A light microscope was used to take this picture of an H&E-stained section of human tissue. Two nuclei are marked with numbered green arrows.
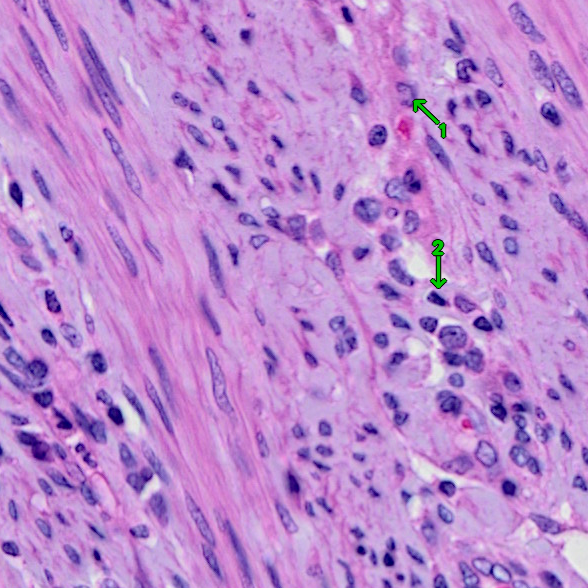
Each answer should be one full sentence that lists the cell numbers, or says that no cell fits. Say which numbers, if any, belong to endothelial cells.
Of the marked cells, the one numbered 1 is an endothelial cell and the rest are not.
